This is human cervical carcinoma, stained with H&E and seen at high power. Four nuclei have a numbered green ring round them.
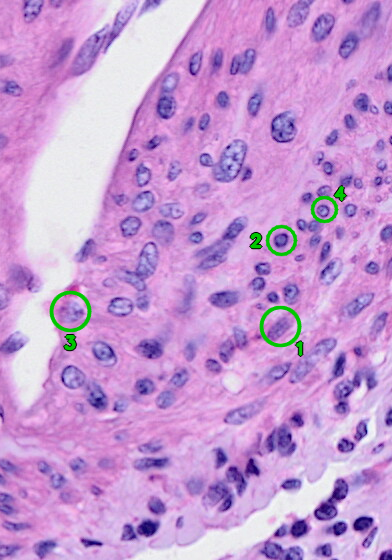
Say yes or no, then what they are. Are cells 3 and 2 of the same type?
No, cell 3 is an endothelial cell, and cell 2, in contrast, is a smooth muscle cell.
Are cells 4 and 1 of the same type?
Yes, both cells, 4 and 1, are smooth muscle cells.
